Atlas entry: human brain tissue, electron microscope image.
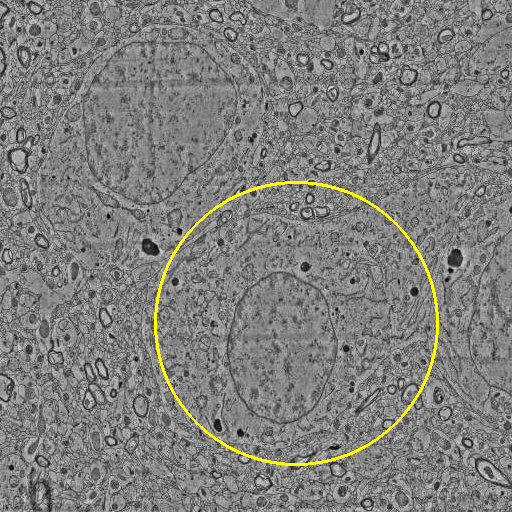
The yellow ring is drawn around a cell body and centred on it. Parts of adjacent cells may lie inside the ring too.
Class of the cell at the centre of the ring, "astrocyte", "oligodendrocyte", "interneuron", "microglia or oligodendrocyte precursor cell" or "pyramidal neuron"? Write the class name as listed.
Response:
pyramidal neuron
